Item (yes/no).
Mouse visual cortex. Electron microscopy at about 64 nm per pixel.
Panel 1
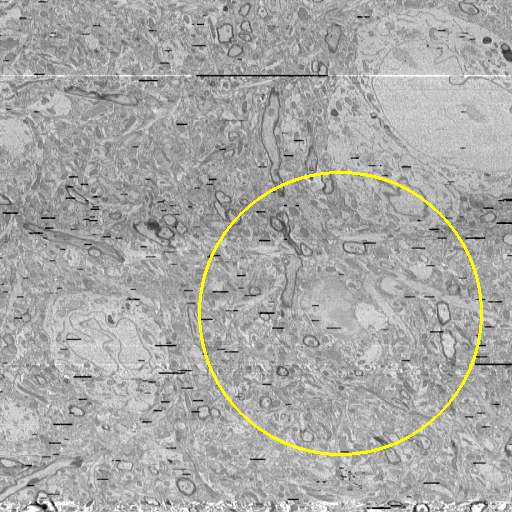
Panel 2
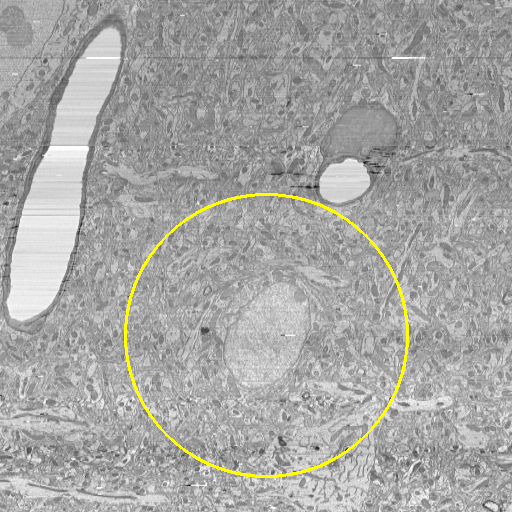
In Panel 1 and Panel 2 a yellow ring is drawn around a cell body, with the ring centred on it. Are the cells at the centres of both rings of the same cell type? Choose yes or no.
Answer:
no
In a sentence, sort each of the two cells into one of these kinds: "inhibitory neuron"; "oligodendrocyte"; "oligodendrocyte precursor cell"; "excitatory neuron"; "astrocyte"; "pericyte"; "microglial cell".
The first of the two cells is a microglial cell, and the second is an astrocyte.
